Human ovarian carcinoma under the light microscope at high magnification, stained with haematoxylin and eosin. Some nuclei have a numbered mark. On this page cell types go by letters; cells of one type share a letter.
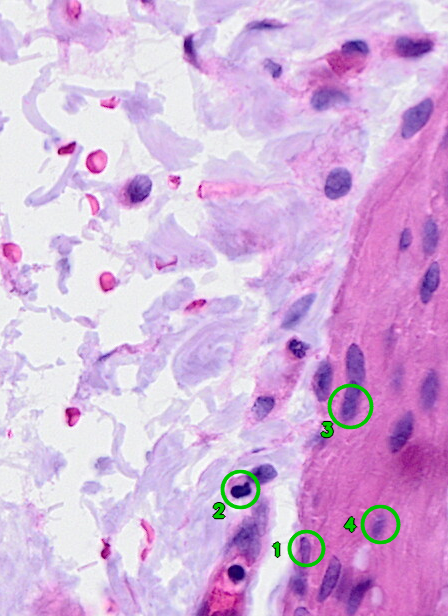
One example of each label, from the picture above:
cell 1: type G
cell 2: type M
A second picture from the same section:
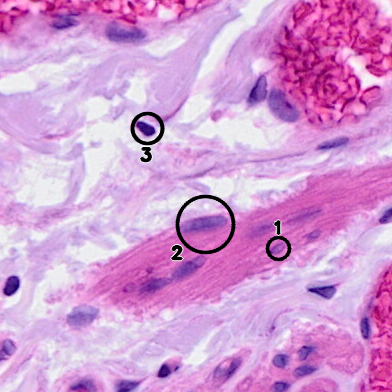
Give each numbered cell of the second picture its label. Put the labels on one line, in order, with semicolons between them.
type G; type G; type M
